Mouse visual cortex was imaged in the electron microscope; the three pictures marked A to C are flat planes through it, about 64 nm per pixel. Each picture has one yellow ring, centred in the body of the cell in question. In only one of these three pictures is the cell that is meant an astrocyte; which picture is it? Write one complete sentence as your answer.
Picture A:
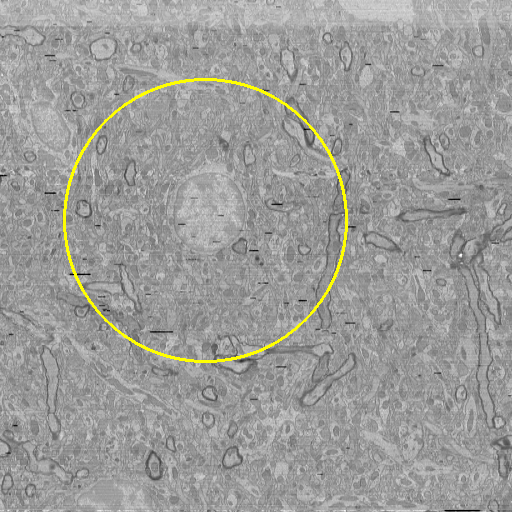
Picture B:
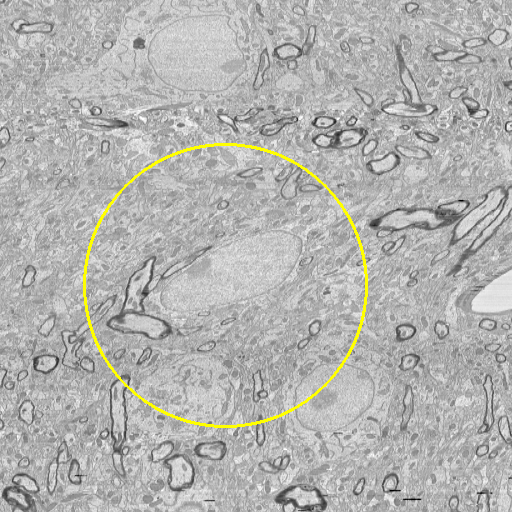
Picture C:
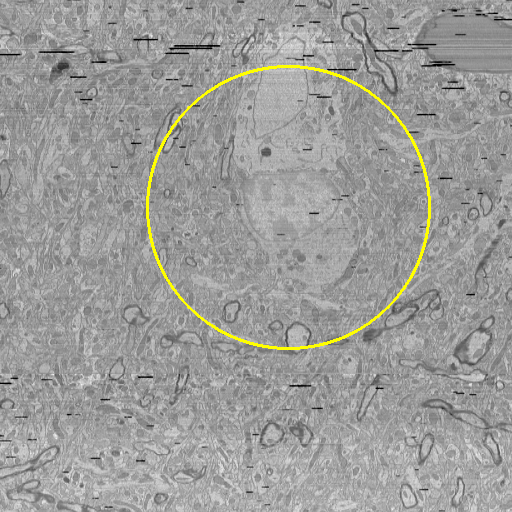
Picture B is the one that shows the astrocyte.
